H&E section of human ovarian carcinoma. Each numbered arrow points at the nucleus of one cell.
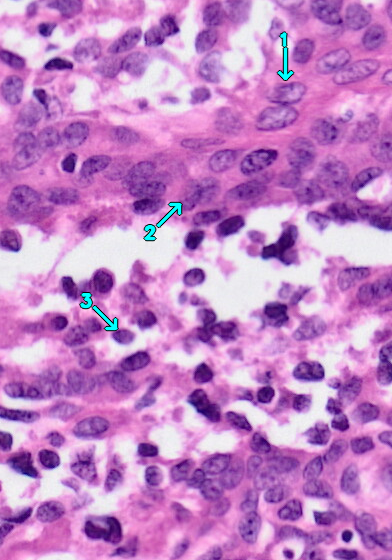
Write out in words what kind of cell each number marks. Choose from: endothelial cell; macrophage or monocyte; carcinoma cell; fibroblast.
Cell 1 is an endothelial cell, cell 2 is a carcinoma cell and cell 3 is a carcinoma cell.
